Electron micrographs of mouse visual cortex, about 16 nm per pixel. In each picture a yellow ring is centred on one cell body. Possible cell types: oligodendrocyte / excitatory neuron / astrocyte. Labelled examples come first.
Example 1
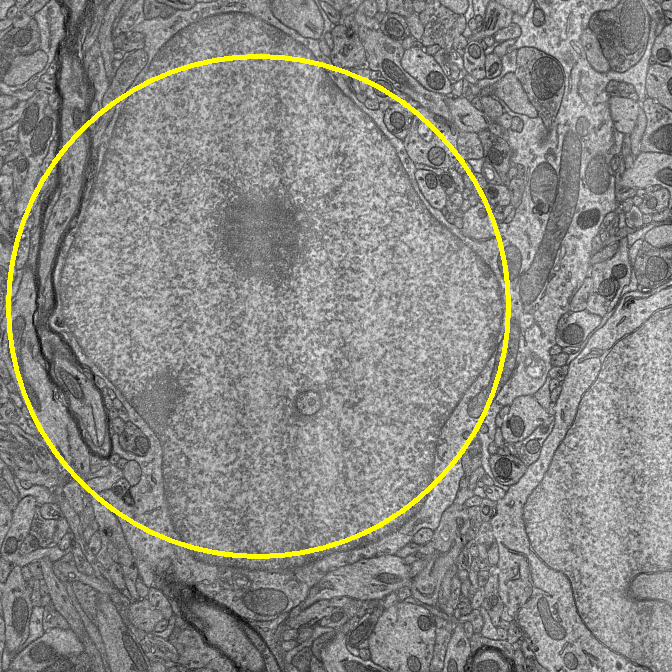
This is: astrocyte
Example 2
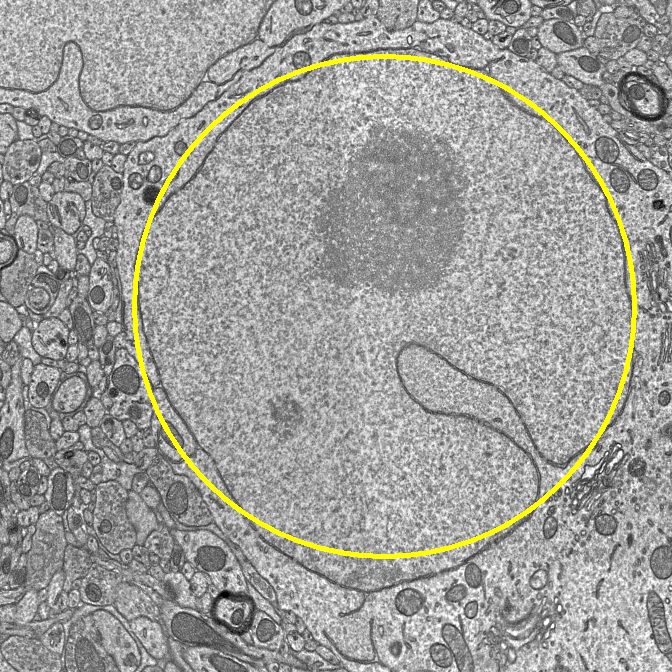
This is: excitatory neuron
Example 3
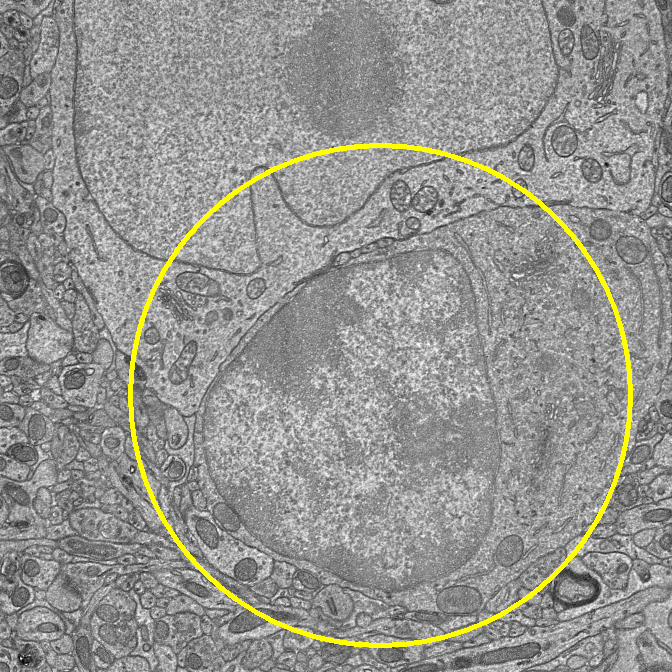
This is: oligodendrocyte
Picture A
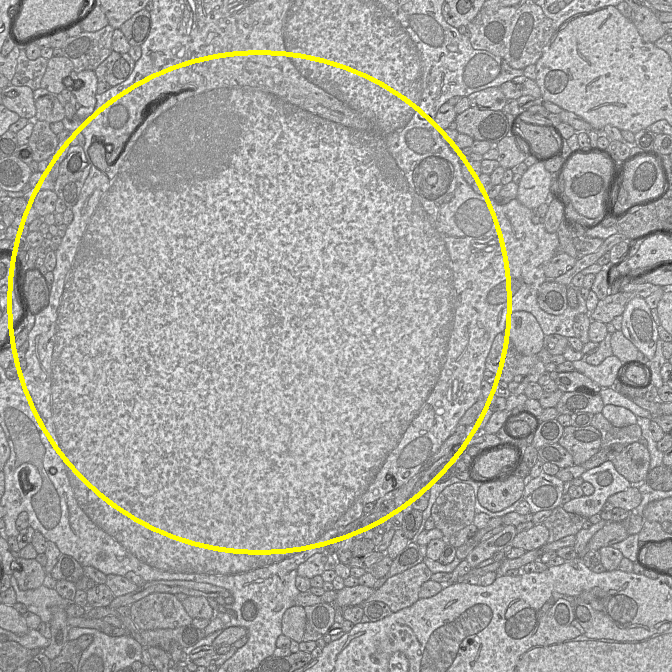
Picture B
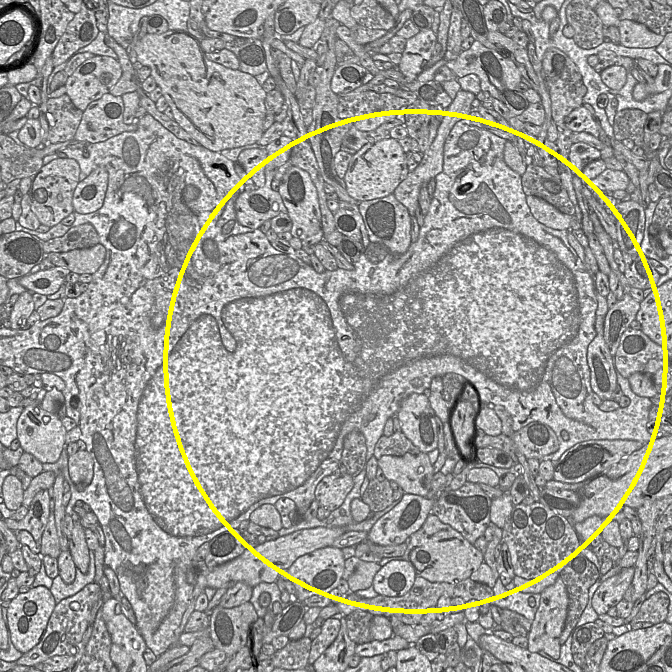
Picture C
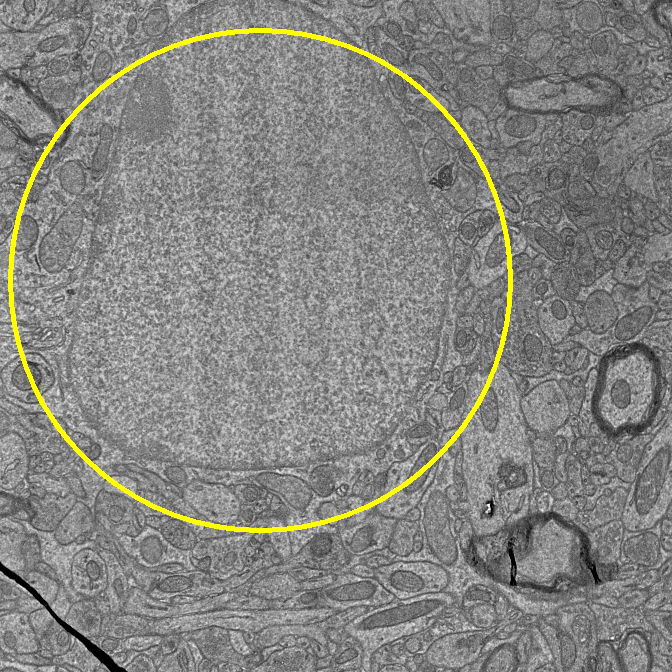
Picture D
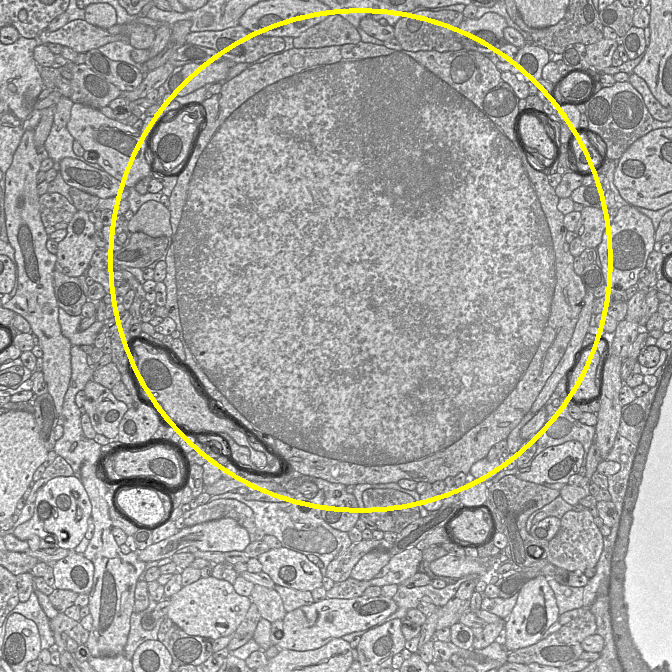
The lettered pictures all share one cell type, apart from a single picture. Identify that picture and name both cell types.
D: oligodendrocyte; all the others: astrocyte.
